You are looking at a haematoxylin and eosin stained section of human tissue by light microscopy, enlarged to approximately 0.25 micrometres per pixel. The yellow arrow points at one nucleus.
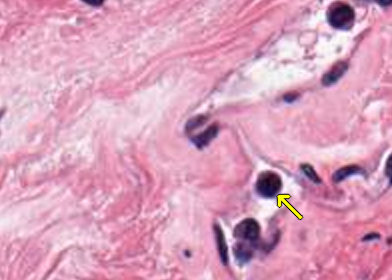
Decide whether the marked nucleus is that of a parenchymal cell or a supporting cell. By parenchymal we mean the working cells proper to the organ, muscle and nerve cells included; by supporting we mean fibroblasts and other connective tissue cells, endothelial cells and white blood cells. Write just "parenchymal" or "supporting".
supporting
